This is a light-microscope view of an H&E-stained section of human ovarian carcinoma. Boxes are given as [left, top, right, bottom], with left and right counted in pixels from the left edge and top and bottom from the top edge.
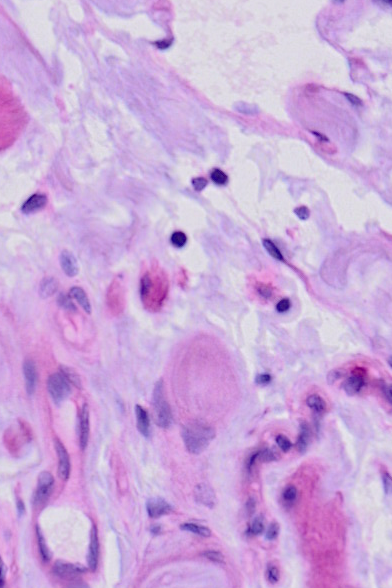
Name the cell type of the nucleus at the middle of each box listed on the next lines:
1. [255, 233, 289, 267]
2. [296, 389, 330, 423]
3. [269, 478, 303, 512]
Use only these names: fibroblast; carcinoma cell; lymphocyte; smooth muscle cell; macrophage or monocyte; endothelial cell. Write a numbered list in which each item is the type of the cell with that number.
1. fibroblast
2. endothelial cell
3. smooth muscle cell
